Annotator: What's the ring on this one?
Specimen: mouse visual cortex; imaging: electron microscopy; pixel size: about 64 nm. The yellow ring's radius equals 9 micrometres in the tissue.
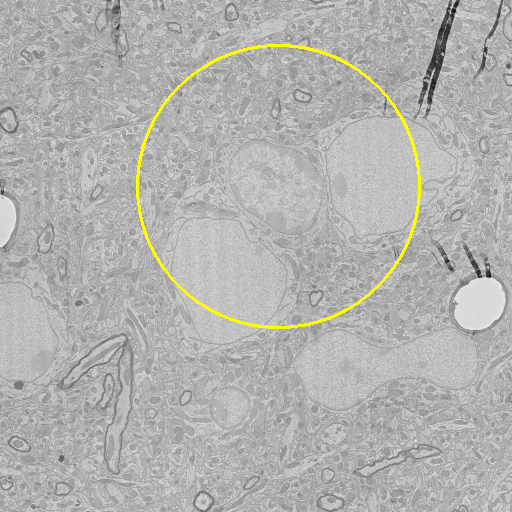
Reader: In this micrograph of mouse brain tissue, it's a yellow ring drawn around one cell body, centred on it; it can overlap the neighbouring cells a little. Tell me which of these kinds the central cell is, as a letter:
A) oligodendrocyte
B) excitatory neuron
A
